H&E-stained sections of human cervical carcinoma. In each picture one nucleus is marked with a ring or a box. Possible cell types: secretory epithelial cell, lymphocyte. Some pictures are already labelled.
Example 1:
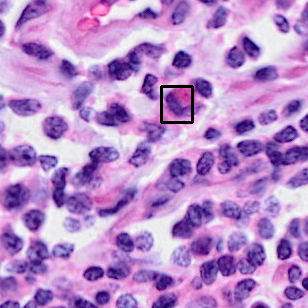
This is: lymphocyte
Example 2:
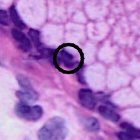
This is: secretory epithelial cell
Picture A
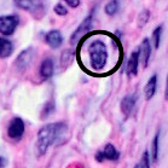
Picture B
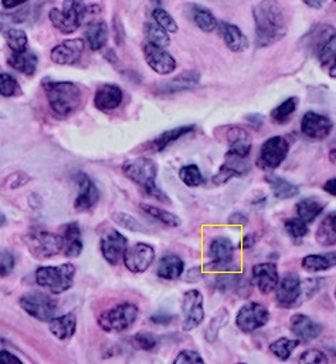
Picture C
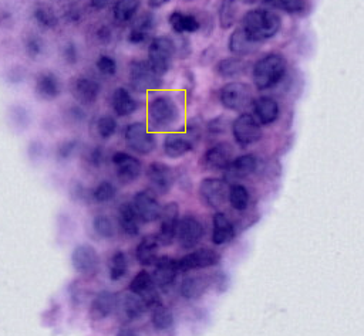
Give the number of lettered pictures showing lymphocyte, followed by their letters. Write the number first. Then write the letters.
2, namely A, B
